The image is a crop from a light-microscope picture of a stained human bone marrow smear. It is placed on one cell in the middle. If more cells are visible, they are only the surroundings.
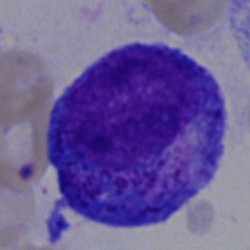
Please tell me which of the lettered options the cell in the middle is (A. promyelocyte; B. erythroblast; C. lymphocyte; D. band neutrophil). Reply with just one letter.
A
